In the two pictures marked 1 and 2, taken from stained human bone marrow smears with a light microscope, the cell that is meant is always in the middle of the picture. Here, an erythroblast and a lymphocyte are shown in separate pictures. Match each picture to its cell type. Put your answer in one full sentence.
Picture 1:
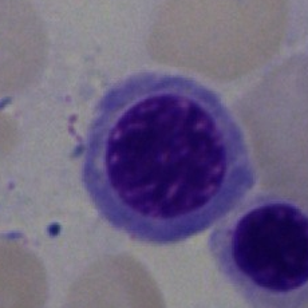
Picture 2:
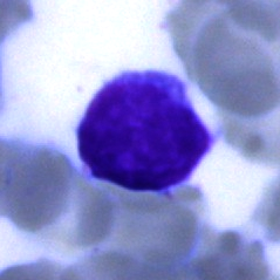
In picture 1 the cell is an erythroblast; in picture 2, a lymphocyte.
